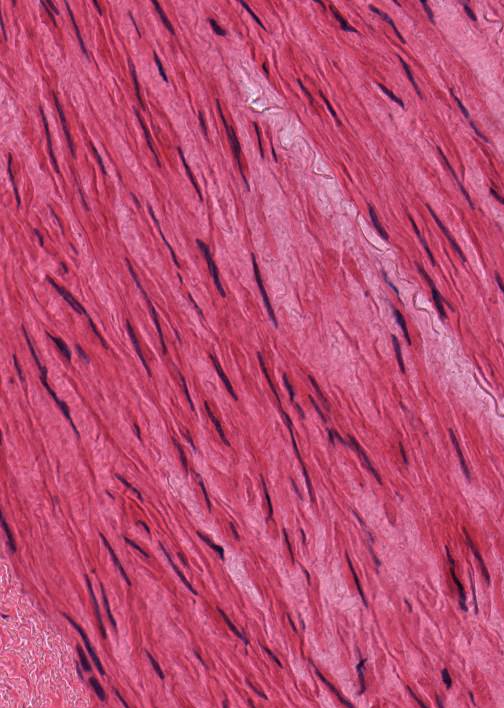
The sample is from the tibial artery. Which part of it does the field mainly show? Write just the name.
tunica media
